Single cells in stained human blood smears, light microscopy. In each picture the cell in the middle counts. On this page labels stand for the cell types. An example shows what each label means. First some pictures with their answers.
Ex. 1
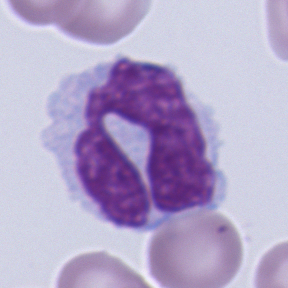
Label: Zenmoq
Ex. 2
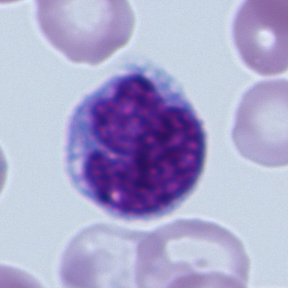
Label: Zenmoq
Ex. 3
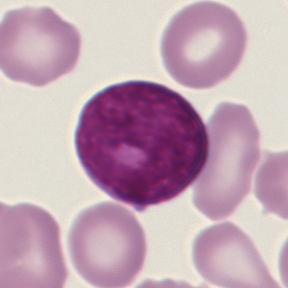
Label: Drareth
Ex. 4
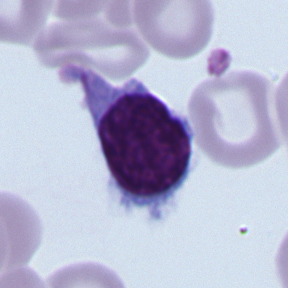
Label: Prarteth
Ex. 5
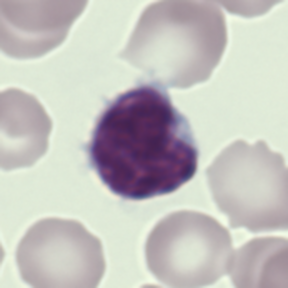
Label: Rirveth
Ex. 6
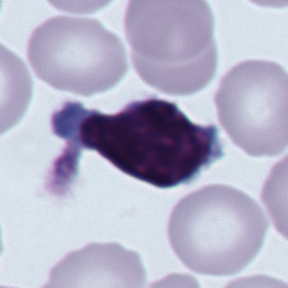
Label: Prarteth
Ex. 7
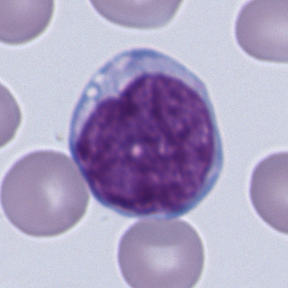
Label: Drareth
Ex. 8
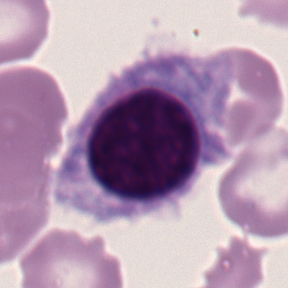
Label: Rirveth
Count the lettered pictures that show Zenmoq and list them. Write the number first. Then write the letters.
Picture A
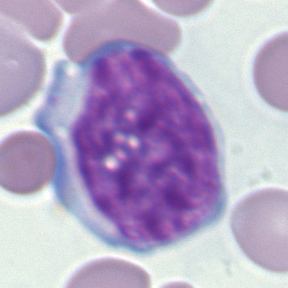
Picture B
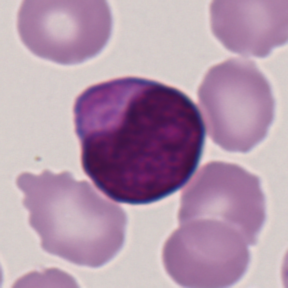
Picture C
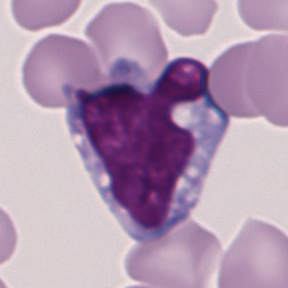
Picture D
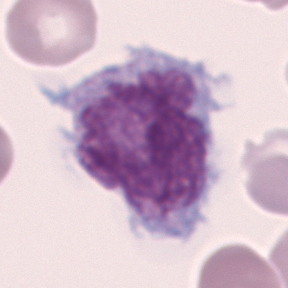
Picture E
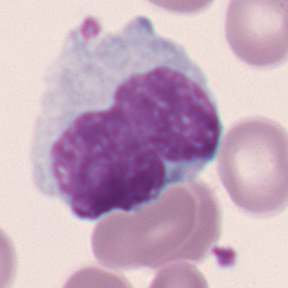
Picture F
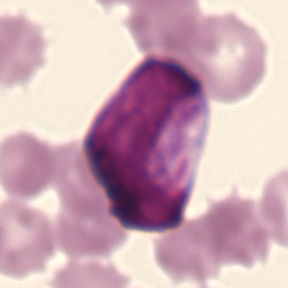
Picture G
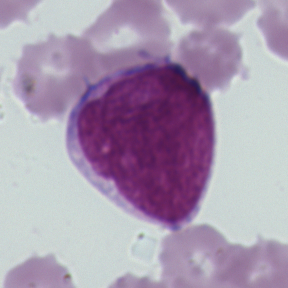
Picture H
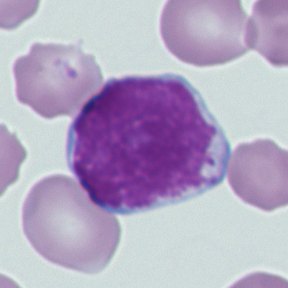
Count: 2 (D, E)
